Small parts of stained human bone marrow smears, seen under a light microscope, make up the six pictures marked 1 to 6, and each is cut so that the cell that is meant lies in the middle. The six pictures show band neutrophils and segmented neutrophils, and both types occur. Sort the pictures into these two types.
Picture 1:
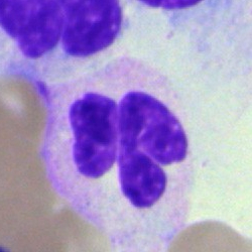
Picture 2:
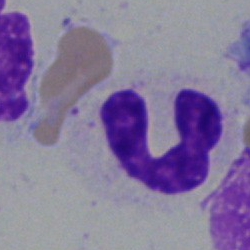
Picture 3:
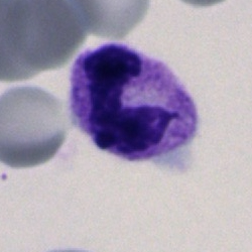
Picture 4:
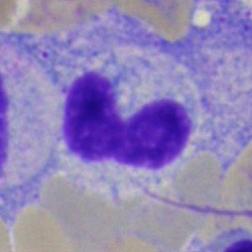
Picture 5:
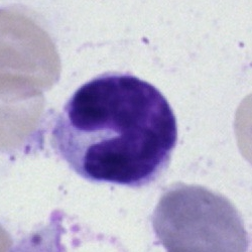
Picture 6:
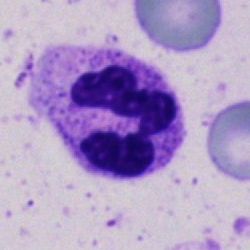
1: segmented neutrophil
2: band neutrophil
3: band neutrophil
4: band neutrophil
5: band neutrophil
6: segmented neutrophil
